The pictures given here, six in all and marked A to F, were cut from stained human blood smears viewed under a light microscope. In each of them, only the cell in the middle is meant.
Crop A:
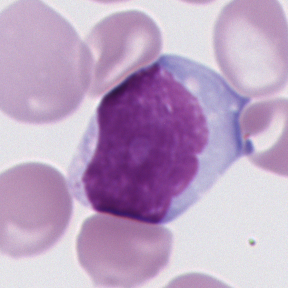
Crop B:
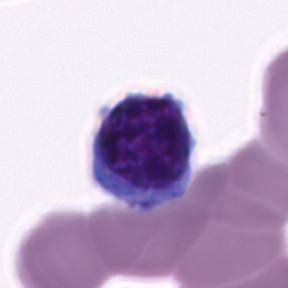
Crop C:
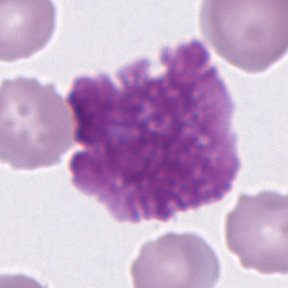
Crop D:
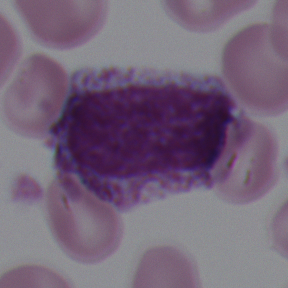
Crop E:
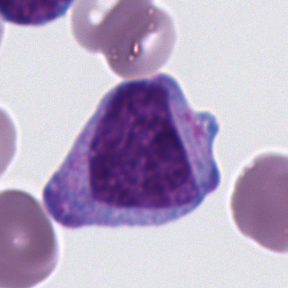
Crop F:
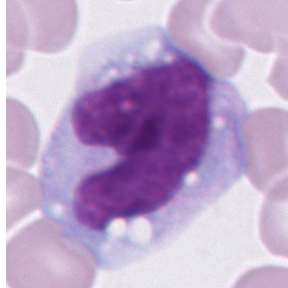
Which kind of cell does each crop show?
A: myeloblast
B: plasma cell
C: smudge cell
D: myelocyte
E: atypical promyelocyte
F: monocyte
